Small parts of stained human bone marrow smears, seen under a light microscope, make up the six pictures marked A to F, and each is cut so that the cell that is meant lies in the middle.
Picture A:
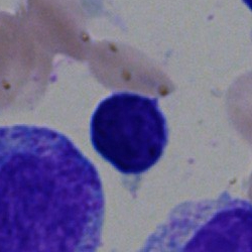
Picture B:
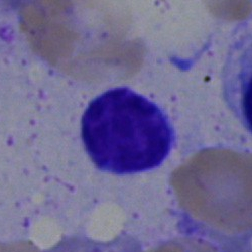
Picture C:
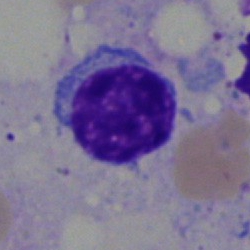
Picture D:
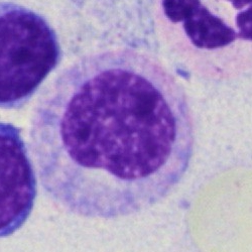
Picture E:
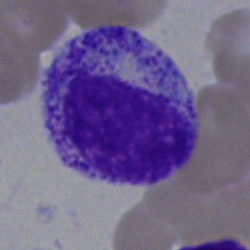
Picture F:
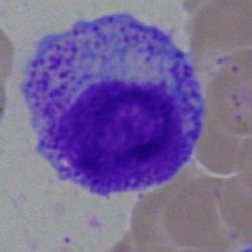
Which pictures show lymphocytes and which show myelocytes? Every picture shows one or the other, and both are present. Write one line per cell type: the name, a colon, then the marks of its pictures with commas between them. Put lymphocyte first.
lymphocyte: A, B, C
myelocyte: D, E, F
